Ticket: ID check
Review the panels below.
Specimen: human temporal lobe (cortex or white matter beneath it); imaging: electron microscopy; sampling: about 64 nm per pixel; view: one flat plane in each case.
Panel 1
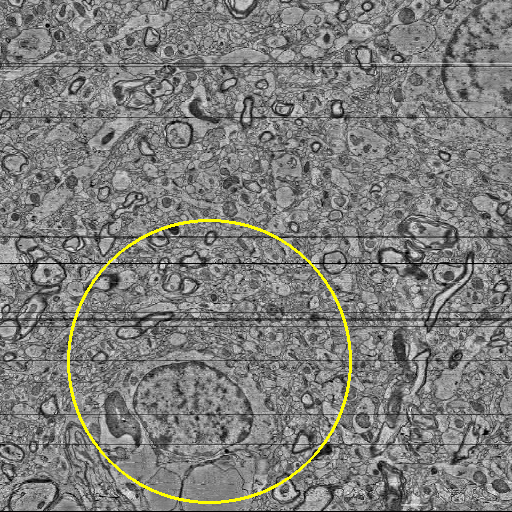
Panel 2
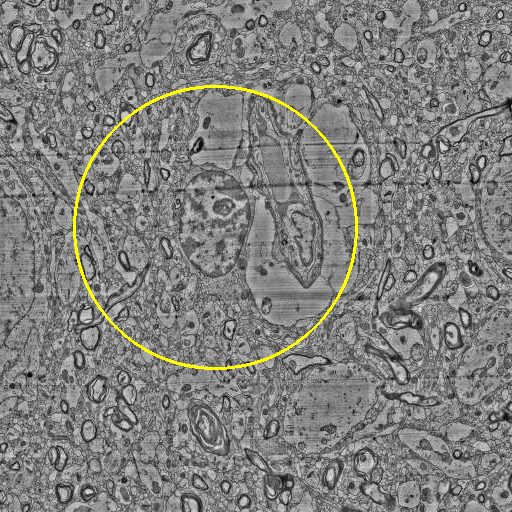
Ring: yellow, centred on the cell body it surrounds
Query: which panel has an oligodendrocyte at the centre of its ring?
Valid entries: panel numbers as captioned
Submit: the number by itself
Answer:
2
